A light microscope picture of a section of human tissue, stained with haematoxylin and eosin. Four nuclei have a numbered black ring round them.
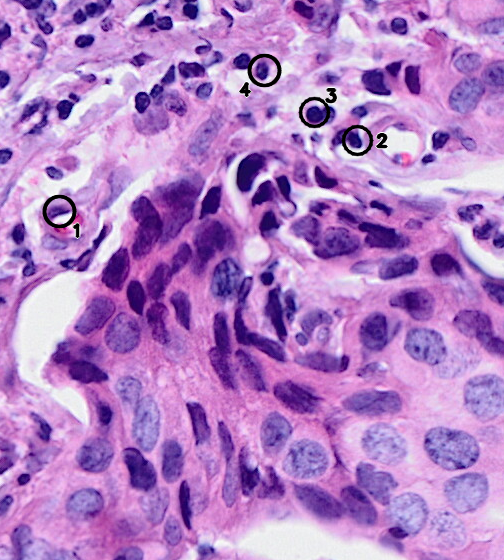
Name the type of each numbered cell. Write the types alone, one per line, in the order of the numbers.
endothelial cell
lymphocyte
lymphocyte
lymphocyte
